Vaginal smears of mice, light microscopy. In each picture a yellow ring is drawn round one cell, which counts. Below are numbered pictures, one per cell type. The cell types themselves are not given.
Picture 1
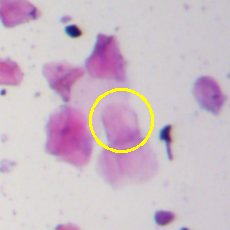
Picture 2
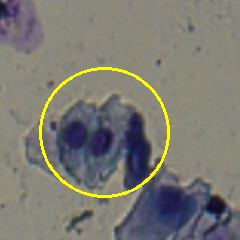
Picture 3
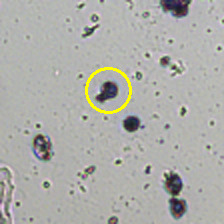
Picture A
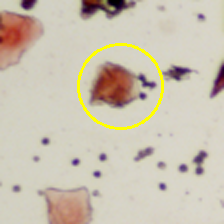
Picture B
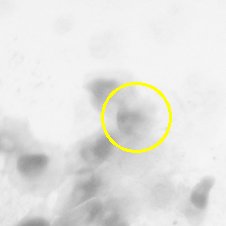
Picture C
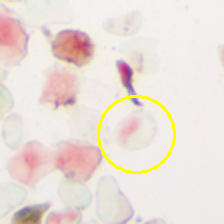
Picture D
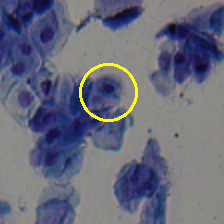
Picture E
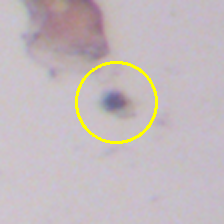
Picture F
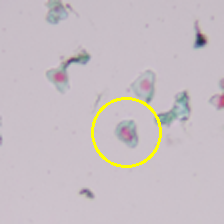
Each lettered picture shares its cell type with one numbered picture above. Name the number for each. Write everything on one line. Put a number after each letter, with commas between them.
A 1, B 2, C 2, D 2, E 3, F 2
